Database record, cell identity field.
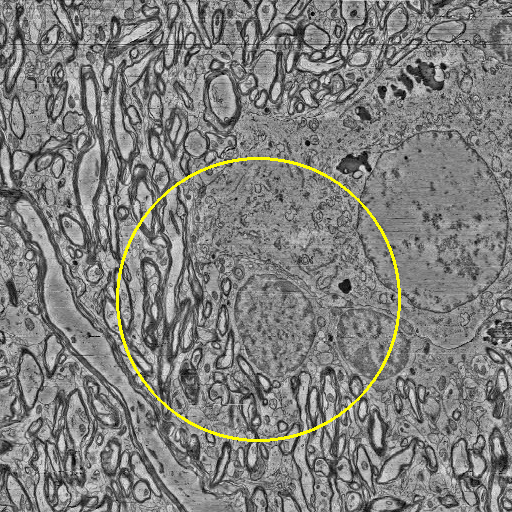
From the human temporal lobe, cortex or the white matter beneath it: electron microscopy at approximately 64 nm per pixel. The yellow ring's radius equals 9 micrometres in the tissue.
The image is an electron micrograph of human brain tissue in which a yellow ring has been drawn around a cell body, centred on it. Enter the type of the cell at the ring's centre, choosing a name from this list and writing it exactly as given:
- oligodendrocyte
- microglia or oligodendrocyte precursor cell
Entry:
oligodendrocyte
